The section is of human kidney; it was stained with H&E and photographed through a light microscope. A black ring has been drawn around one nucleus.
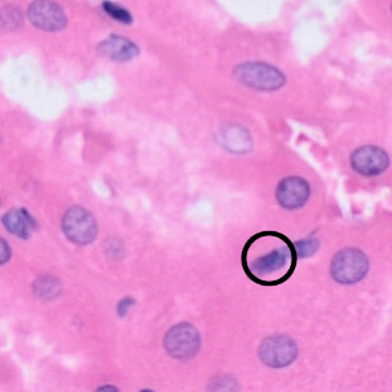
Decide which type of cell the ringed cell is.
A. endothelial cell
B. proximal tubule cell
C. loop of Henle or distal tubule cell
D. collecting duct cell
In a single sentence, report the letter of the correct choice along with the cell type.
The correct option is A, and the ringed cell is an endothelial cell.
